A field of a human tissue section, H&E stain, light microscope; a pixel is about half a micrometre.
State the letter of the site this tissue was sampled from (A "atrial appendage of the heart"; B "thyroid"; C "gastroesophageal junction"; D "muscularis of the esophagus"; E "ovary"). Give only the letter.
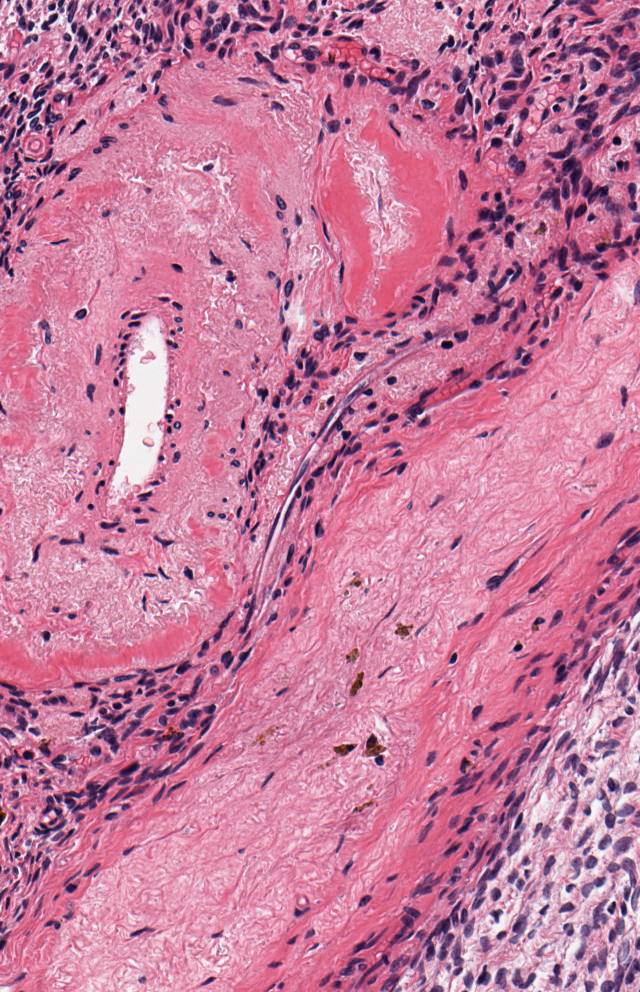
E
